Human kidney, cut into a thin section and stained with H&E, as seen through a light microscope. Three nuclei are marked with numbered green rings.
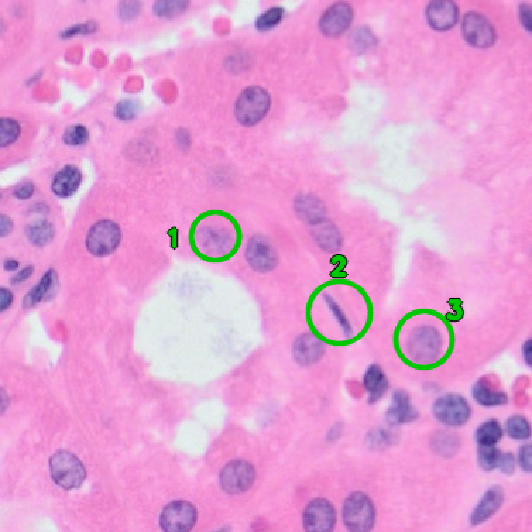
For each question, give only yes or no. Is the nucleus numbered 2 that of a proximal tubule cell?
no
